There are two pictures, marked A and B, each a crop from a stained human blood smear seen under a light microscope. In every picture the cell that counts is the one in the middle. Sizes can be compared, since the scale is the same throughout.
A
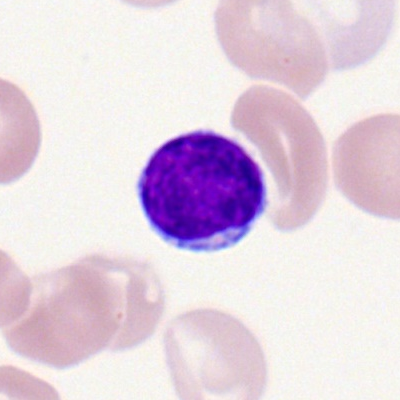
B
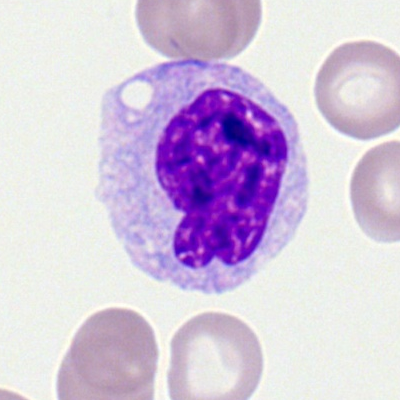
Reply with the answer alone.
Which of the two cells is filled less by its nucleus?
B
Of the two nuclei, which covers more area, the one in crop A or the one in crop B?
B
